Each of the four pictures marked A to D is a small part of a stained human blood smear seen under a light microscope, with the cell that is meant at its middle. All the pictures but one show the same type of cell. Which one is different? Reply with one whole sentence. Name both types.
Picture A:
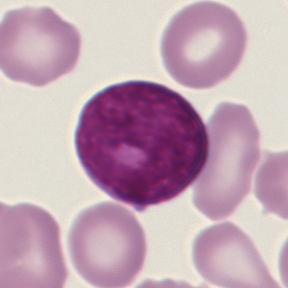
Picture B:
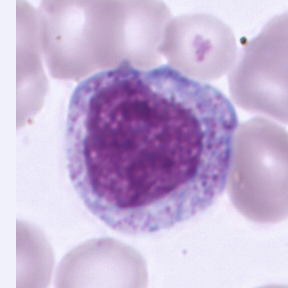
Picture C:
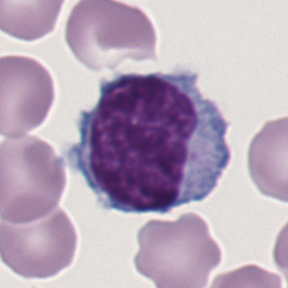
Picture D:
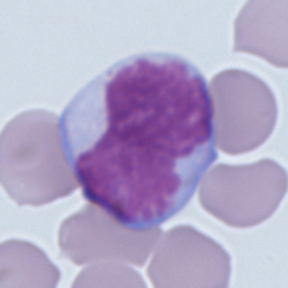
Picture B is the odd one out: it shows a promyelocyte, while the others show myeloblasts.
